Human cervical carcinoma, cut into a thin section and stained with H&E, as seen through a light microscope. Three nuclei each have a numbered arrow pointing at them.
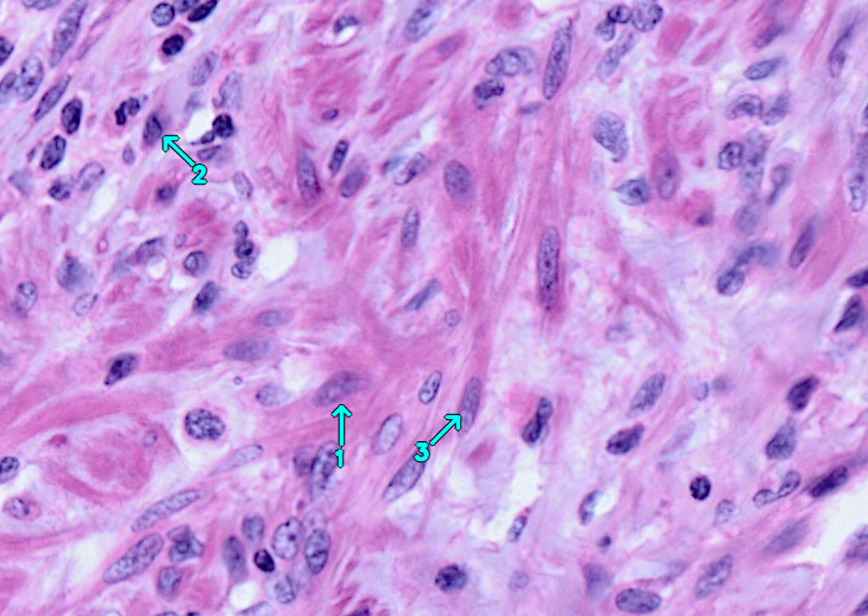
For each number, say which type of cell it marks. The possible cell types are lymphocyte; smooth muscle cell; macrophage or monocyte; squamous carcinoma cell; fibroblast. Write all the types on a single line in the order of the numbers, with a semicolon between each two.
smooth muscle cell; macrophage or monocyte; smooth muscle cell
